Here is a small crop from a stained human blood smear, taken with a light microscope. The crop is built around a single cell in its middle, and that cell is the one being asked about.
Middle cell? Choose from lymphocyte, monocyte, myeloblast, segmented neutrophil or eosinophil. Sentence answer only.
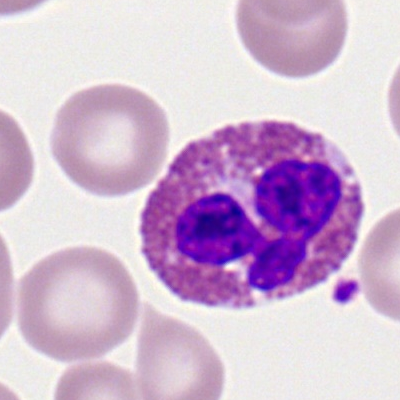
The cell marked by its central position in the crop is an eosinophil.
